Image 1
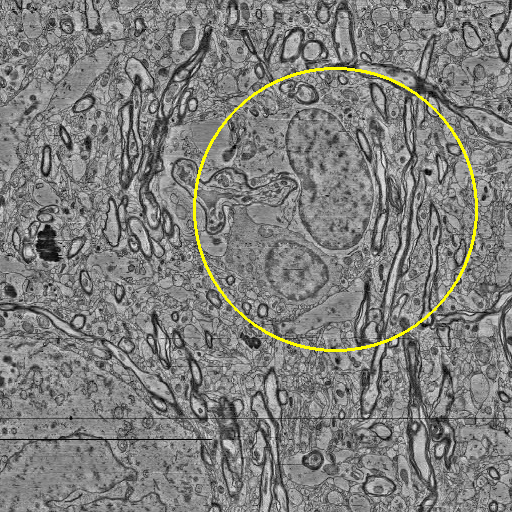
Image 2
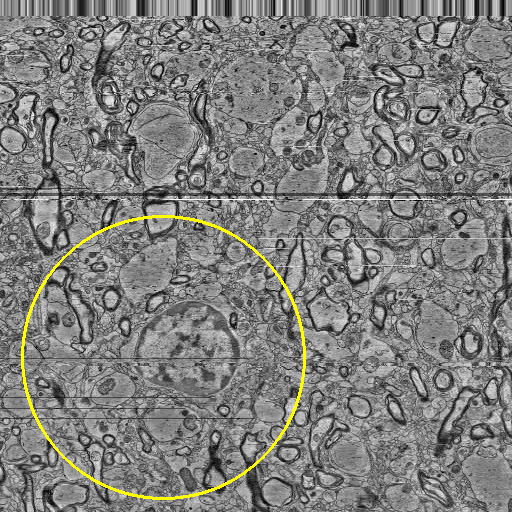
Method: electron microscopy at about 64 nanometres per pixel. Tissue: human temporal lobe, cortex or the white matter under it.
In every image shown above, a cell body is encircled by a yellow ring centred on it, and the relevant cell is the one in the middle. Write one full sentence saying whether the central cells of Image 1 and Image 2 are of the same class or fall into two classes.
The cell at the ring's centre in Image 1 and its counterpart in Image 2 are of the same class.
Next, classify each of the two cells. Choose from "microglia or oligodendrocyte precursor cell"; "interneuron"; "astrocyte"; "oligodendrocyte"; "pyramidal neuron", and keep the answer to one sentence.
The second cell is a microglial cell or oligodendrocyte precursor cell, just as the first is.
